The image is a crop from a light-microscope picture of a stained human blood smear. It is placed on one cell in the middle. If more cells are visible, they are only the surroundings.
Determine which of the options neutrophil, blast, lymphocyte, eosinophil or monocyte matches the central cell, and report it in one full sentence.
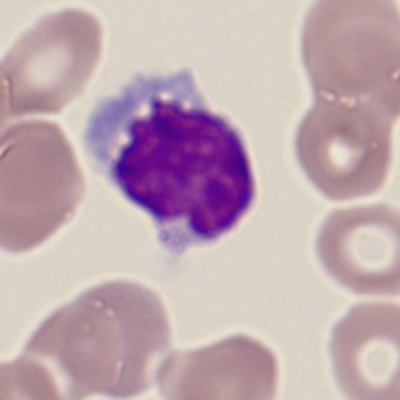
Positioned in the middle of the crop is a lymphocyte.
